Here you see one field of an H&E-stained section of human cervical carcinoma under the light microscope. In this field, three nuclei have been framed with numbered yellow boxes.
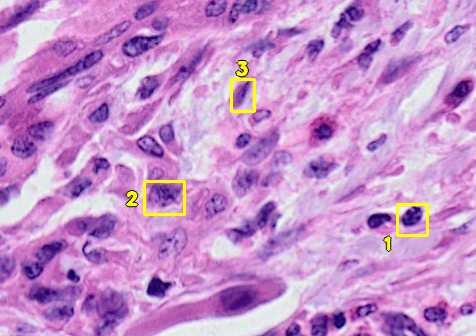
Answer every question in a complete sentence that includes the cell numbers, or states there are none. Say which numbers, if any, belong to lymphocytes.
Only one of the numbered nuclei, number 1, belongs to a lymphocyte.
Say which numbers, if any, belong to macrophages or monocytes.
Only one marked cell, number 2, is a macrophage or monocyte.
